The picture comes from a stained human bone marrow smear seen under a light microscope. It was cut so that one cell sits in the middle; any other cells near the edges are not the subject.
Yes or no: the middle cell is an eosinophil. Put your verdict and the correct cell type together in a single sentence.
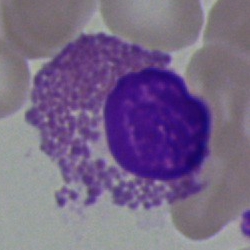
Yes, the cell in the middle has the identity of an eosinophil.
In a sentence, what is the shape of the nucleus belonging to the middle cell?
Have a look at the nucleus, which is one compact mass, round, oval or kidney-shaped.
